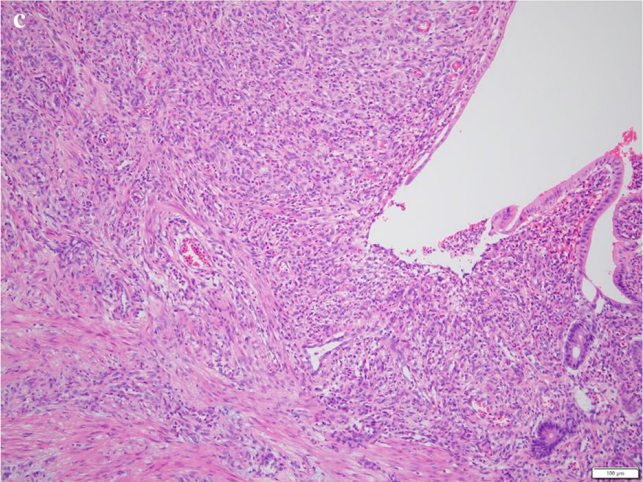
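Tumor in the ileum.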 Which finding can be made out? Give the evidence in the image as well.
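At the lower right, small intestinal glands lie in a cellular lamina propria.
Erosive mucosa.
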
